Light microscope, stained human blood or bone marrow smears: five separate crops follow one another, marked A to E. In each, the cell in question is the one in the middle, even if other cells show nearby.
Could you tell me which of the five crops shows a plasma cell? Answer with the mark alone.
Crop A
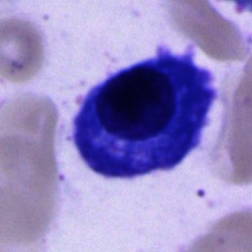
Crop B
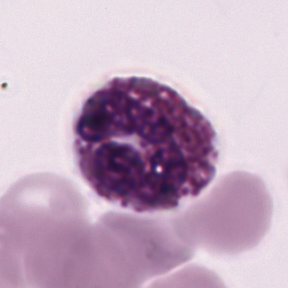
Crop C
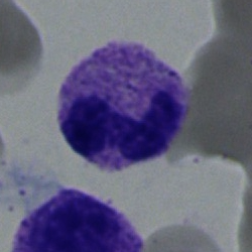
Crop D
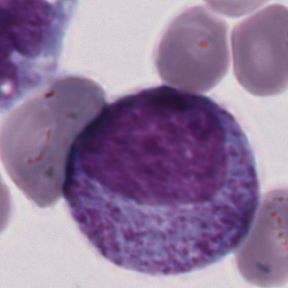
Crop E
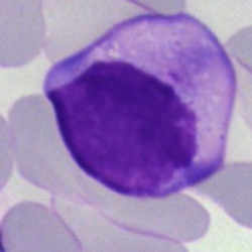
A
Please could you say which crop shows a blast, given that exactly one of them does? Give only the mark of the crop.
E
